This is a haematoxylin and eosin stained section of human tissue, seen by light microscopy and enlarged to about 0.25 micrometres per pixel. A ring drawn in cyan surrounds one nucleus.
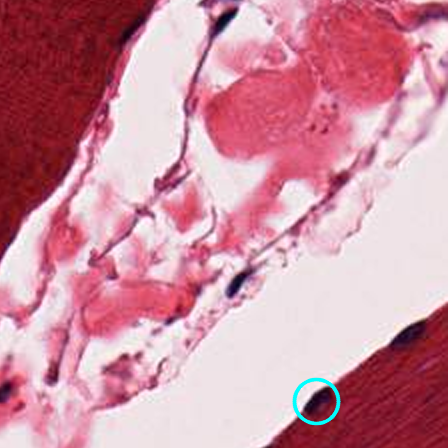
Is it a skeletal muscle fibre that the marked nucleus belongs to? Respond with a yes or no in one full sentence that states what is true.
Yes, the marked nucleus is a nucleus of a skeletal muscle fibre.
